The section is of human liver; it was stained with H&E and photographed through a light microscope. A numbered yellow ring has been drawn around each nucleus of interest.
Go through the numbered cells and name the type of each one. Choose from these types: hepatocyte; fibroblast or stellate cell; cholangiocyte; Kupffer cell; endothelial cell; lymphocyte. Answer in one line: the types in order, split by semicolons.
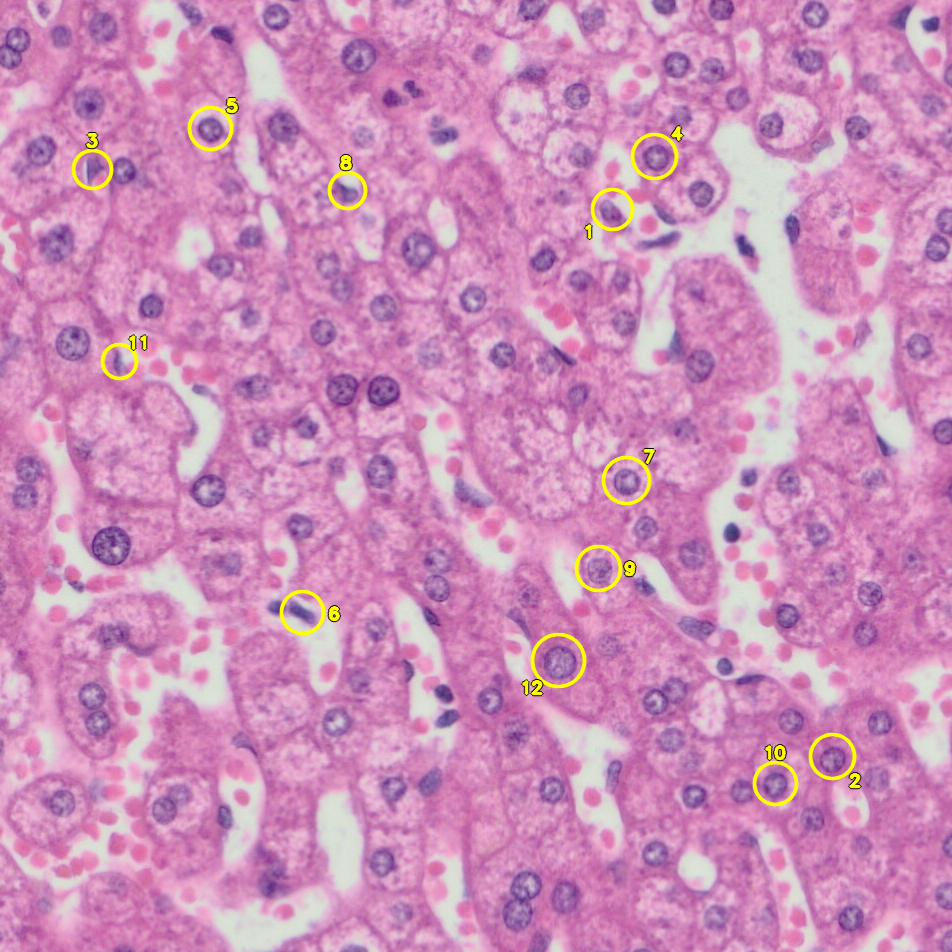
Kupffer cell; hepatocyte; endothelial cell; hepatocyte; hepatocyte; lymphocyte; hepatocyte; endothelial cell; hepatocyte; hepatocyte; endothelial cell; hepatocyte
